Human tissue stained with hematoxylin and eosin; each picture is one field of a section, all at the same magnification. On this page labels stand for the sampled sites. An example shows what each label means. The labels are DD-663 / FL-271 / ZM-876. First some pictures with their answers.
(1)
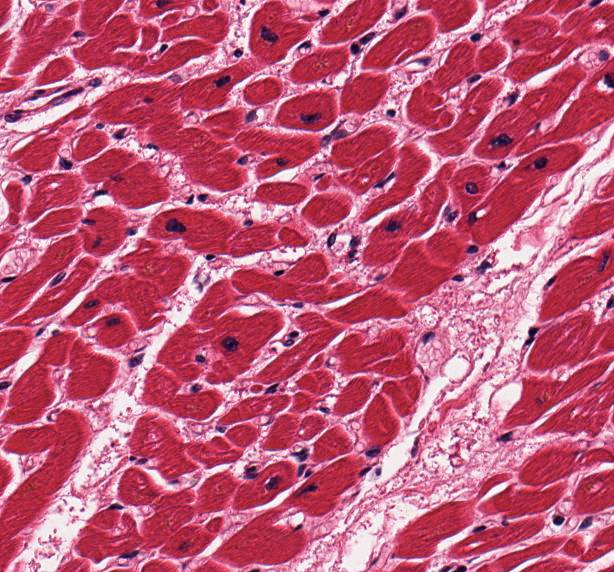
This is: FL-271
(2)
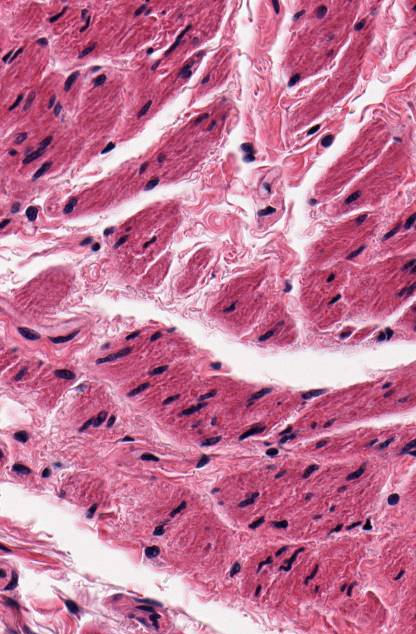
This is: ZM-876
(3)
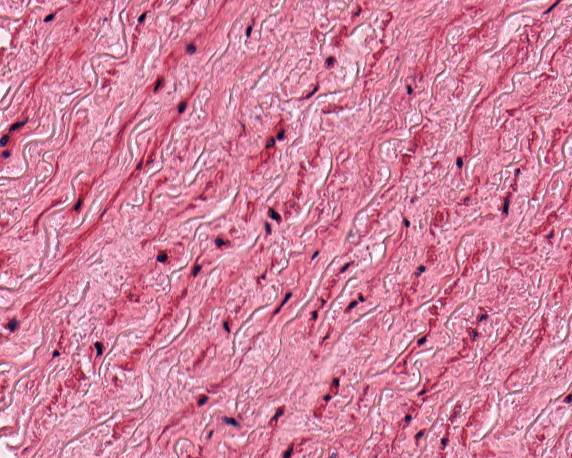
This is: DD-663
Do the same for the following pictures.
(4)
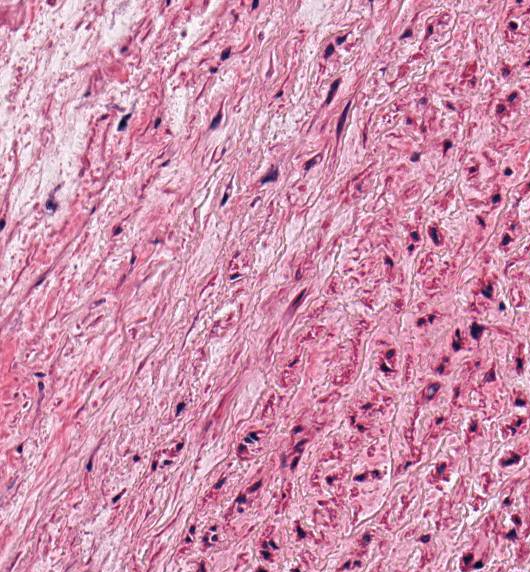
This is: DD-663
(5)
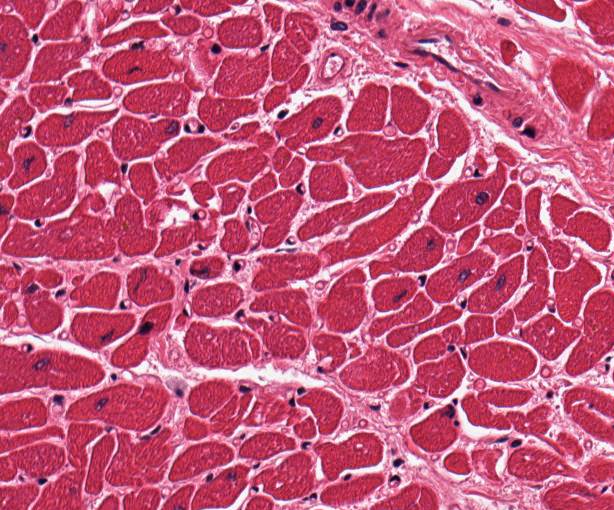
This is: FL-271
